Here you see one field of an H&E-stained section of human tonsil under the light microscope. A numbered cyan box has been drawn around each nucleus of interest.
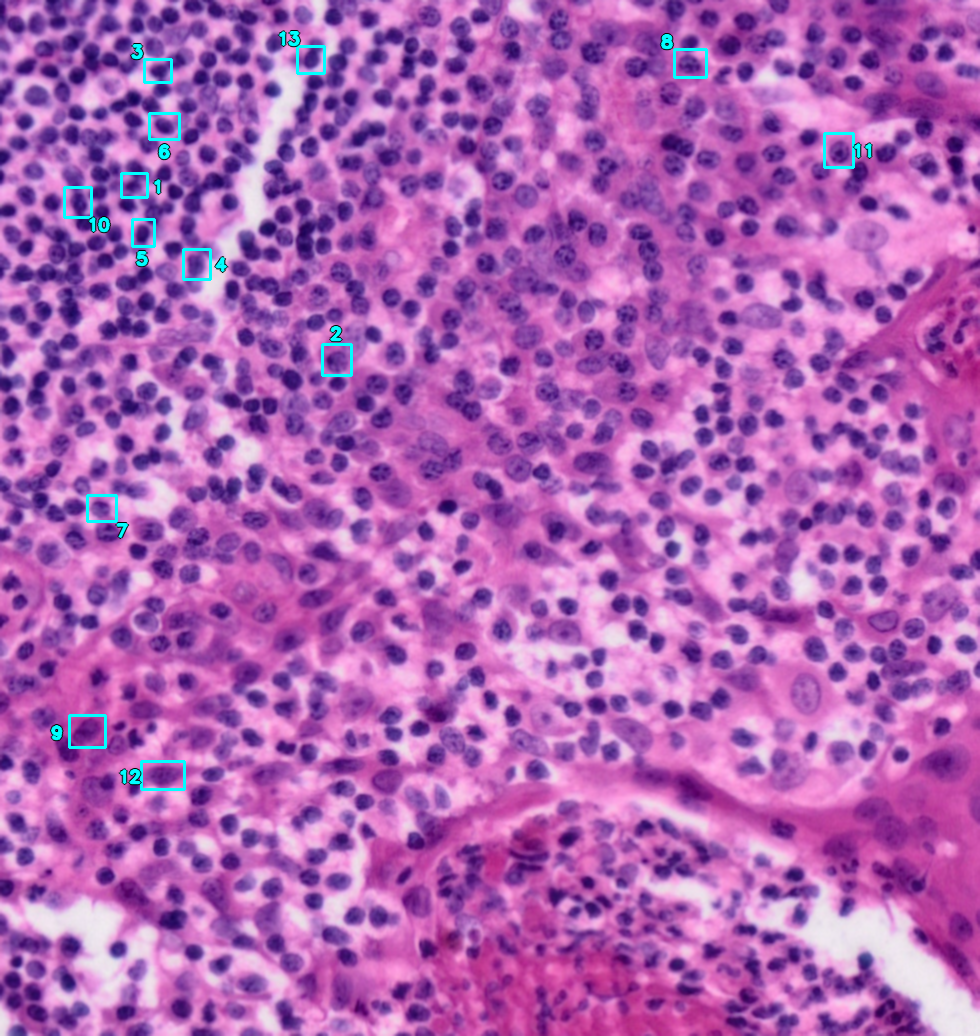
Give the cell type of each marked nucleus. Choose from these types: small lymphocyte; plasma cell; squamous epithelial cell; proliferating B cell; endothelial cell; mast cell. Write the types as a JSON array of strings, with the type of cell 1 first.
["small lymphocyte", "plasma cell", "small lymphocyte", "small lymphocyte", "small lymphocyte", "small lymphocyte", "plasma cell", "plasma cell", "squamous epithelial cell", "small lymphocyte", "plasma cell", "squamous epithelial cell", "small lymphocyte"]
